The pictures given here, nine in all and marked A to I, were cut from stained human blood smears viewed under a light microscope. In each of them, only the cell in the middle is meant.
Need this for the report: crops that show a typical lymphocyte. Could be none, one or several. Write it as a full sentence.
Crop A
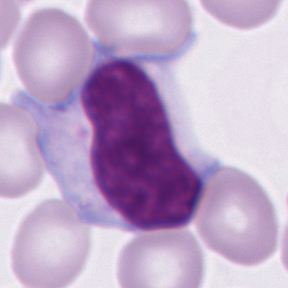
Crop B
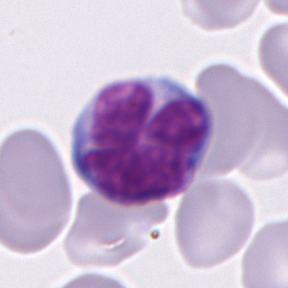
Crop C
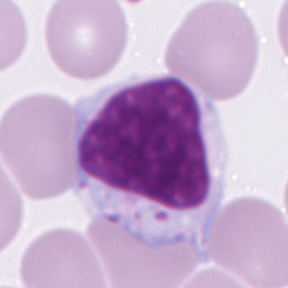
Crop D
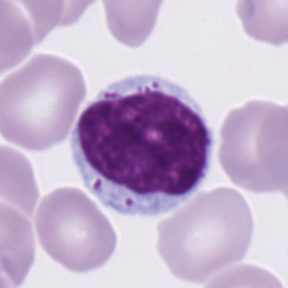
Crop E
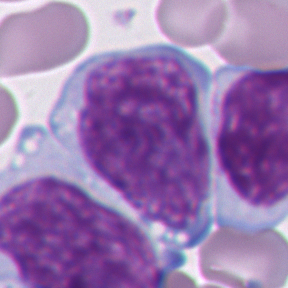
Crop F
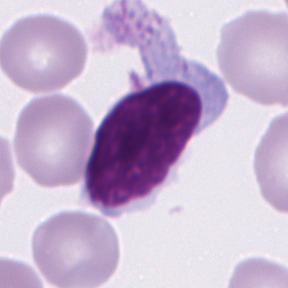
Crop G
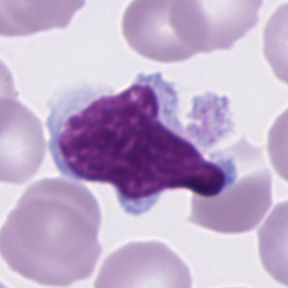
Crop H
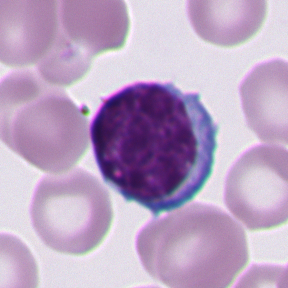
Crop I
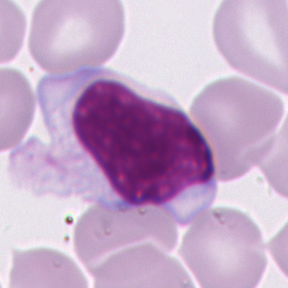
What crops B and H show in the centre are typical lymphocytes.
